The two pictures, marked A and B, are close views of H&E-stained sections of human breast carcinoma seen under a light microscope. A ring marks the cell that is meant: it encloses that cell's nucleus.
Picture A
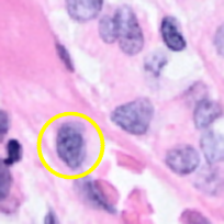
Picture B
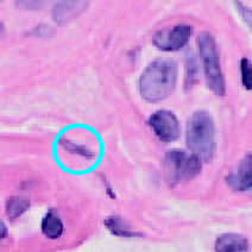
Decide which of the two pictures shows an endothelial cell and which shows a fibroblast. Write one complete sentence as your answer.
It is picture A that shows an endothelial cell, and picture B that shows a fibroblast.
